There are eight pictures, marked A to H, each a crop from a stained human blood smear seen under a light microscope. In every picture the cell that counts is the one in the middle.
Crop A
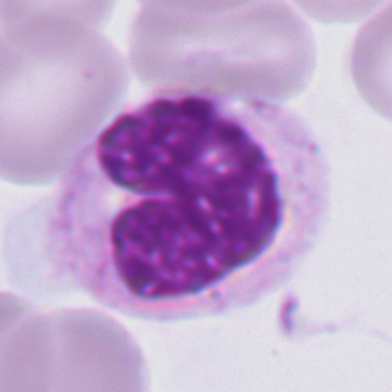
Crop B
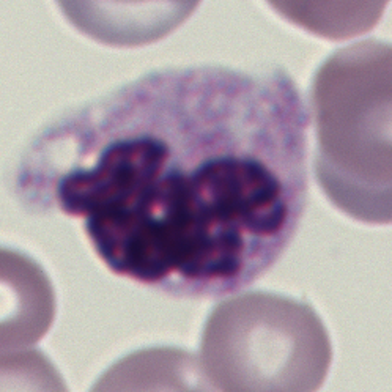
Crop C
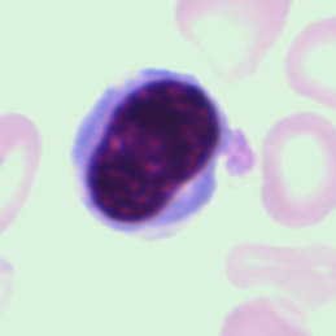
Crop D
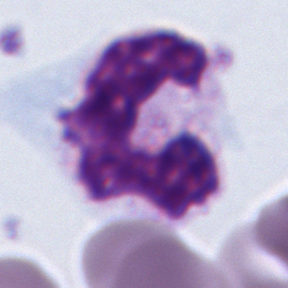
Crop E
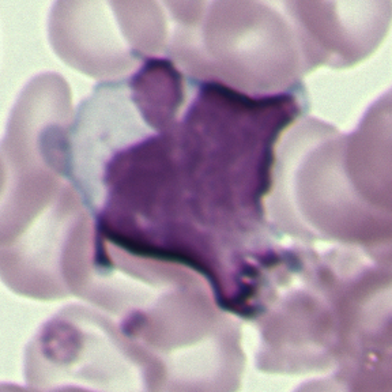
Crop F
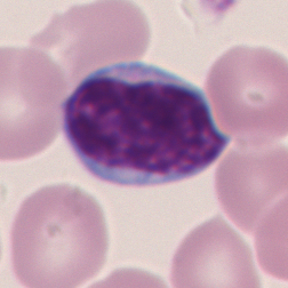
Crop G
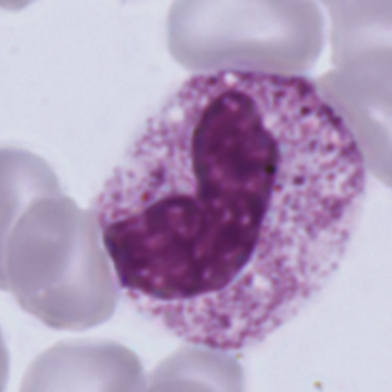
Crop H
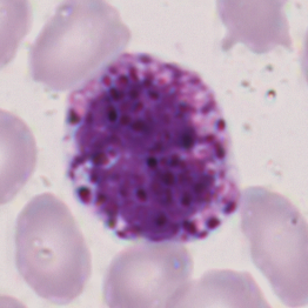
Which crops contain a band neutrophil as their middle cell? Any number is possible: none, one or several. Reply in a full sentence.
Looking at crops A and G, the middle cells are band neutrophils.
